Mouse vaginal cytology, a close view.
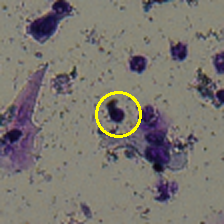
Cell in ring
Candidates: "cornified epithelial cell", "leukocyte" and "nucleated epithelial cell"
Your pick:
leukocyte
